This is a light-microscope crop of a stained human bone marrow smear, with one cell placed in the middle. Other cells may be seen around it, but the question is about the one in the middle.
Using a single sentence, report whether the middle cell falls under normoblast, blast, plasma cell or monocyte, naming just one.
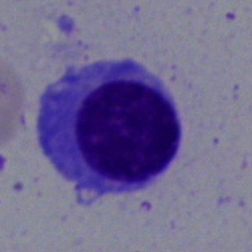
Within this crop, a normoblast occupies the central position.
